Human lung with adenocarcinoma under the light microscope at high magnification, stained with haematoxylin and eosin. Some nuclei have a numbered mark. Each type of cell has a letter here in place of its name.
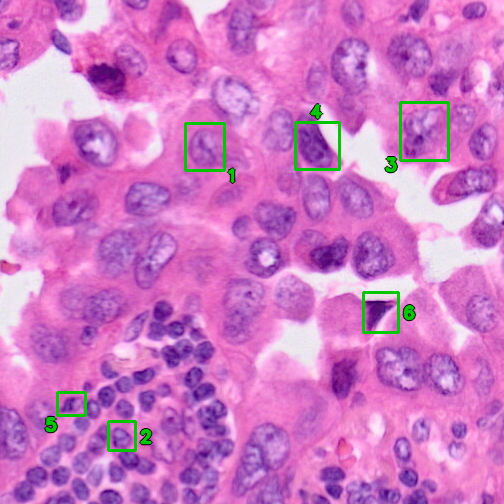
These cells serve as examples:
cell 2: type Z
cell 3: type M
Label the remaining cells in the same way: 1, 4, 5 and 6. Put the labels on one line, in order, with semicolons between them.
type M; type M; type Z; type M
